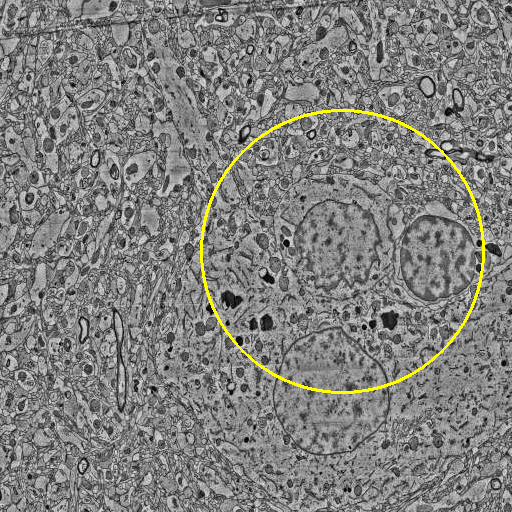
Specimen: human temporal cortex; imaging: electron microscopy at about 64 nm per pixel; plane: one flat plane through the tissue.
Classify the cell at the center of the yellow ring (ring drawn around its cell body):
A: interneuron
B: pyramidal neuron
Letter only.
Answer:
A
